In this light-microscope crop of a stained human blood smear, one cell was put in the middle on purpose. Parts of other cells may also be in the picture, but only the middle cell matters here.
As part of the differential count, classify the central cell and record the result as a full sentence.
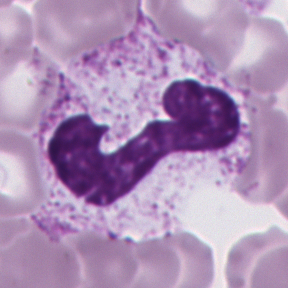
Framed in the middle of the crop is a neutrophil.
